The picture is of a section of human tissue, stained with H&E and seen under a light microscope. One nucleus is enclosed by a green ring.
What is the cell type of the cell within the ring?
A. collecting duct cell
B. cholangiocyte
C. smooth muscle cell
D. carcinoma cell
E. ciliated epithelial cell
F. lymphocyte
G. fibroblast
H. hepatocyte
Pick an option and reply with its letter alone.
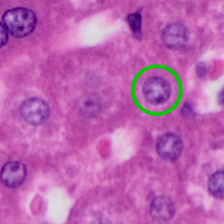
H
